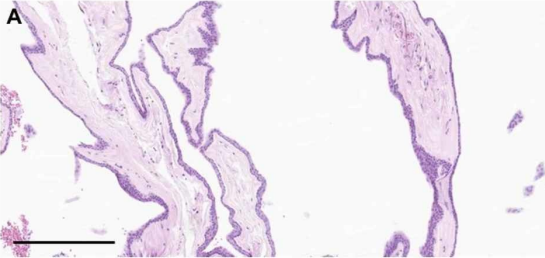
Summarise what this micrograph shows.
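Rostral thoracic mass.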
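Folded cyst walls of pale, loose fibrous stroma are each covered by a thin layer of epithelium with small purple nuclei. The folds border a large empty lumen.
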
